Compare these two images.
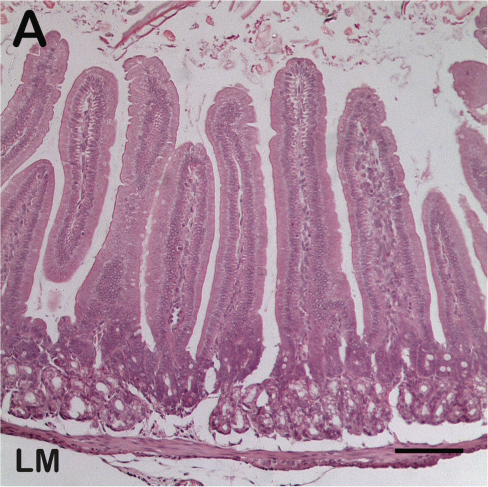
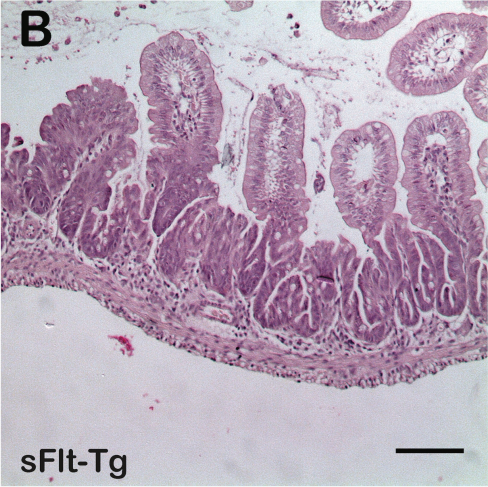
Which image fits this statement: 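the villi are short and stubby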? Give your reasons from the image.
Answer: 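The second image. Second image: the villi are short, broad projections barely taller than the crypt zone. First image: the villi are long, slender finger-like projections reaching far into the lumen.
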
